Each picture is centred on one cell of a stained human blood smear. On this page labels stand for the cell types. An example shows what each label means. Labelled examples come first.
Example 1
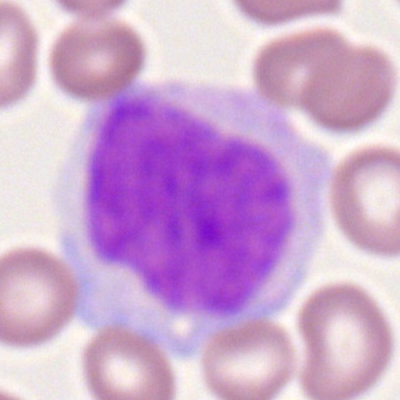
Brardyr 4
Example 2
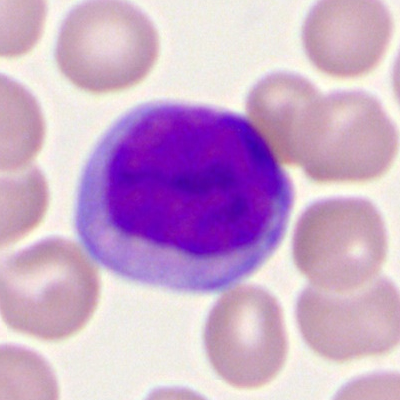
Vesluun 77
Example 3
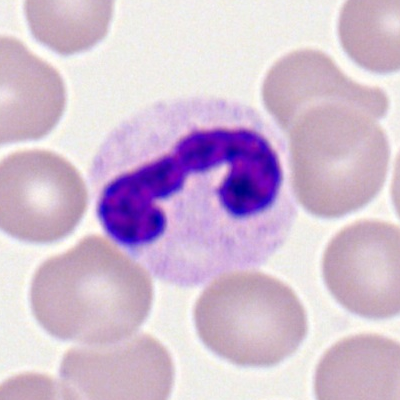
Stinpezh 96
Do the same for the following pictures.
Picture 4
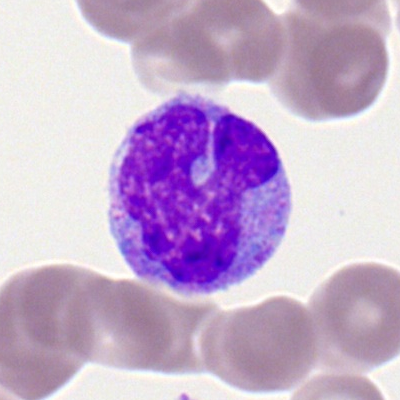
Brardyr 4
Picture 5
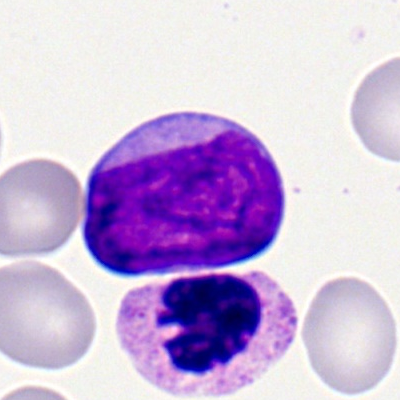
Vesluun 77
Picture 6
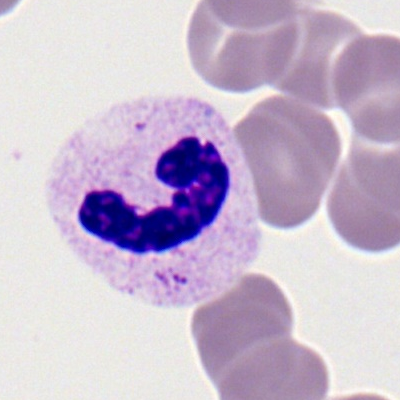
Stinpezh 96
